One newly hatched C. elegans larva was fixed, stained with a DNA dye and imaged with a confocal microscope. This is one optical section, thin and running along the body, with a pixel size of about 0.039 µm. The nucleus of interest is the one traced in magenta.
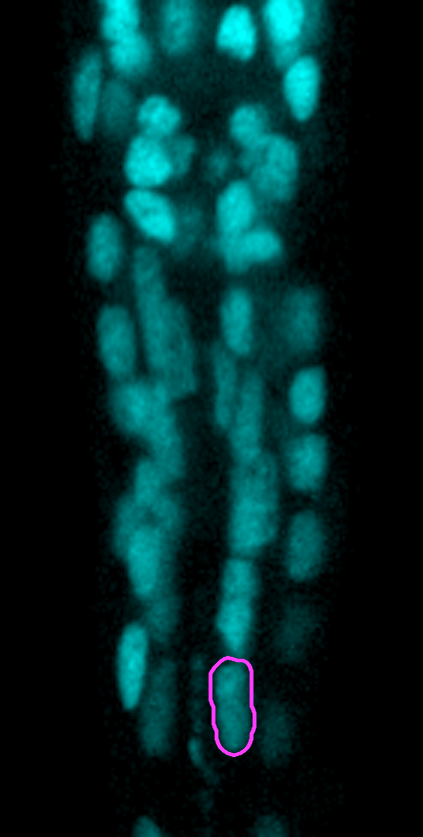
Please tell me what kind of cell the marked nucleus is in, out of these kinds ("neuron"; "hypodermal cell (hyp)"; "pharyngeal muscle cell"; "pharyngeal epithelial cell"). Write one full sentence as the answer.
The marked nucleus belongs to a pharyngeal epithelial cell.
